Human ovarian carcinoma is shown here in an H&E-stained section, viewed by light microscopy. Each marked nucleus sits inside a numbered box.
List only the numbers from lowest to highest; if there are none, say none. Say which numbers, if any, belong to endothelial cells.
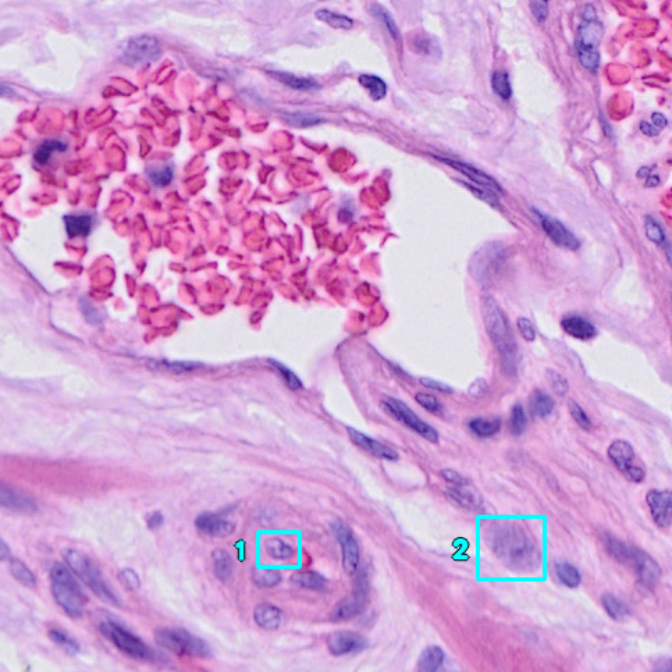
1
